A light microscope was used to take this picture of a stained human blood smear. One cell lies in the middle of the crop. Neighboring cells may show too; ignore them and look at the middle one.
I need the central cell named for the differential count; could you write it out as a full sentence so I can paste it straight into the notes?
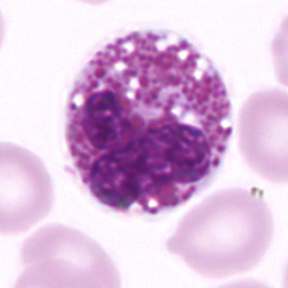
Framed in the middle of the crop is an eosinophil.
